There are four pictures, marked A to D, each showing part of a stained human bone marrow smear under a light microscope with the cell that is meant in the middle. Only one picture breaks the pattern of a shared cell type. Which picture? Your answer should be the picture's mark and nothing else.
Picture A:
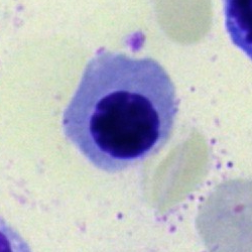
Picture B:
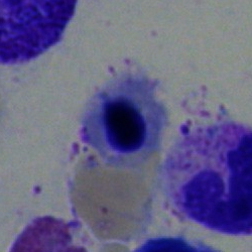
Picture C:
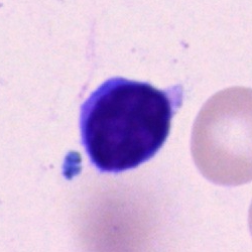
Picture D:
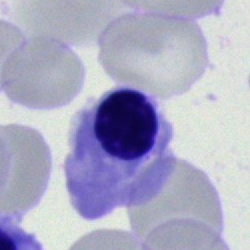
C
